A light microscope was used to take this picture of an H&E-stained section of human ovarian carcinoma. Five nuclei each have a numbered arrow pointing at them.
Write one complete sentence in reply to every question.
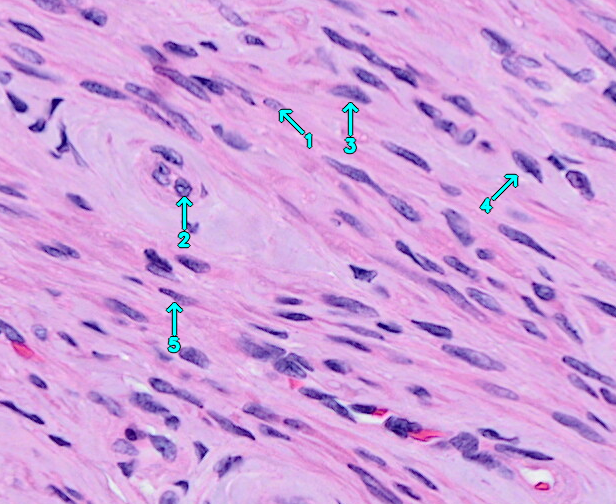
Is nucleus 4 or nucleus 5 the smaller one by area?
Nucleus 5 is the smaller one; nucleus 4 covers about 2.5 times its area.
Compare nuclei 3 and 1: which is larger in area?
Of the two, number 3 is bigger and takes up about 2.5 times the area of number 1.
